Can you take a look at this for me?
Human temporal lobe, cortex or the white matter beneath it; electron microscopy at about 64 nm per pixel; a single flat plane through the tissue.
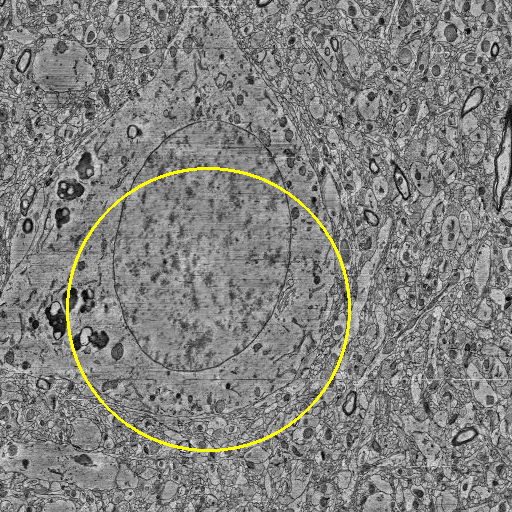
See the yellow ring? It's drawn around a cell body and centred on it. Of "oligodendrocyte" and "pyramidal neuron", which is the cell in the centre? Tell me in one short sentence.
The one in the centre is a pyramidal neuron.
